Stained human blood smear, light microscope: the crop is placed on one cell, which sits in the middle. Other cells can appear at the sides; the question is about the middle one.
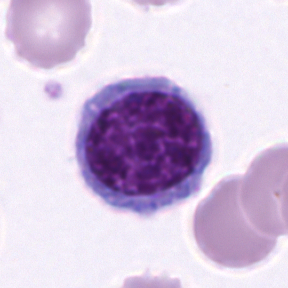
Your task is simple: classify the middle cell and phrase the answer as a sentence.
The target cell in the middle of the crop is a plasma cell.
